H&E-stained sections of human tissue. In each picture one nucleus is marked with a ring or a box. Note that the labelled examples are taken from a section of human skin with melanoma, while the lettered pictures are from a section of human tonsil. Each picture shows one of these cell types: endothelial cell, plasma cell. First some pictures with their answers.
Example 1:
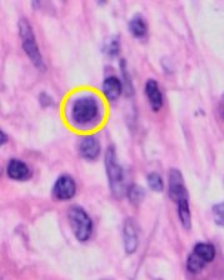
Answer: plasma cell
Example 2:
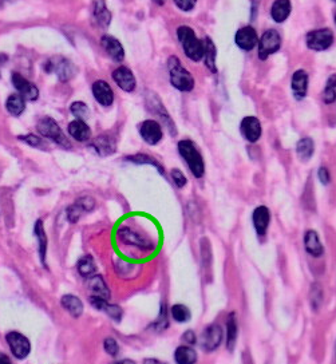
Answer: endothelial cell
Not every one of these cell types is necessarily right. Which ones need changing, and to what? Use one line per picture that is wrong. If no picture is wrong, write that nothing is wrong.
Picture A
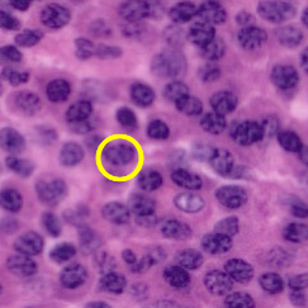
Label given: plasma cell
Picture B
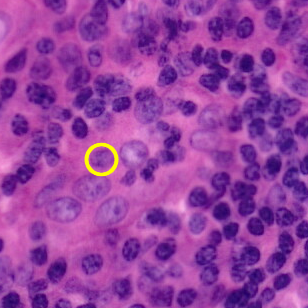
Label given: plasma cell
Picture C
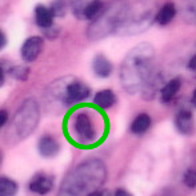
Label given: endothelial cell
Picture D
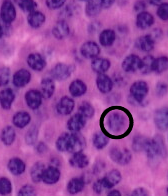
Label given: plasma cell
B: not plasma cell but endothelial cell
